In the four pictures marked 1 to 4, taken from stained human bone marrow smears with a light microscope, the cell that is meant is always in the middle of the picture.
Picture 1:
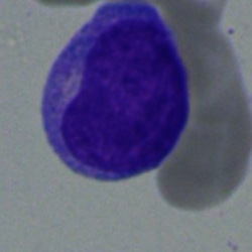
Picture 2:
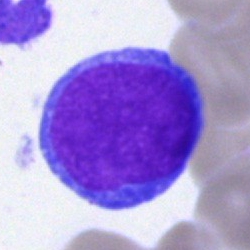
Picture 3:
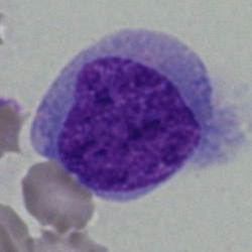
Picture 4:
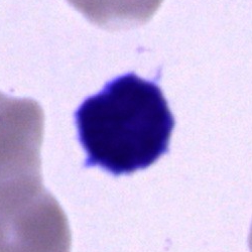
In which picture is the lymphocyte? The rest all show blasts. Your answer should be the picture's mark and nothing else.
4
